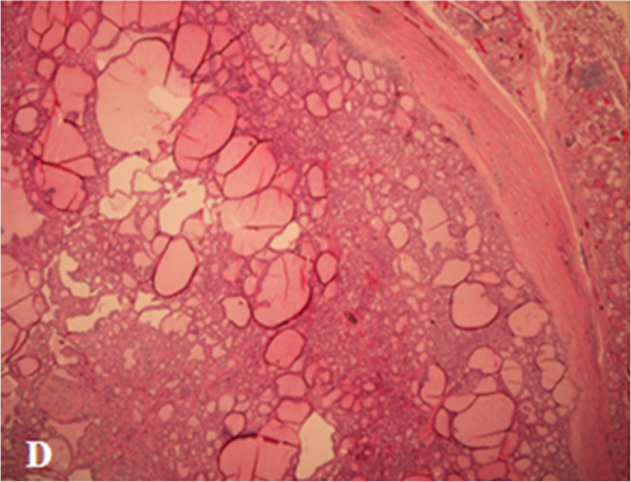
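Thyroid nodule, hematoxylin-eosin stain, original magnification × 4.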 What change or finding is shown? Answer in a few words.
Follicular pattern of growth.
